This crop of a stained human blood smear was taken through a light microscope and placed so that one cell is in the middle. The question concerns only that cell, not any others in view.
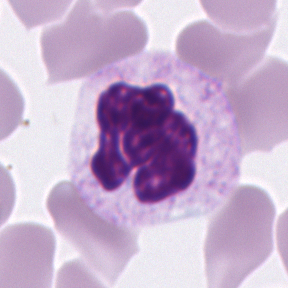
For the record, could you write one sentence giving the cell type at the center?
In the crop, the cell of interest at the centre is a segmented neutrophil.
